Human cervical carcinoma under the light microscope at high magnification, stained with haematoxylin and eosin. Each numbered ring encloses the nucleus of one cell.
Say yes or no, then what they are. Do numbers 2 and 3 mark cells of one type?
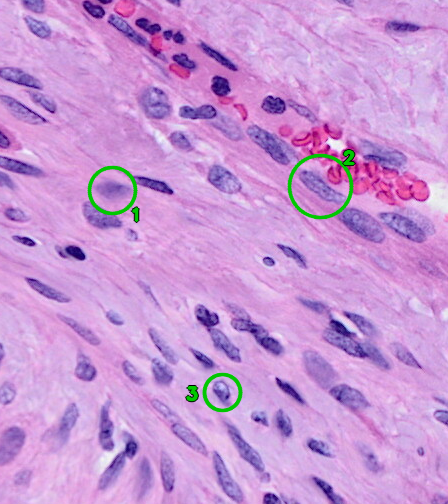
No, cell 2 is an endothelial cell, while a fibroblast is what cell 3 is.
